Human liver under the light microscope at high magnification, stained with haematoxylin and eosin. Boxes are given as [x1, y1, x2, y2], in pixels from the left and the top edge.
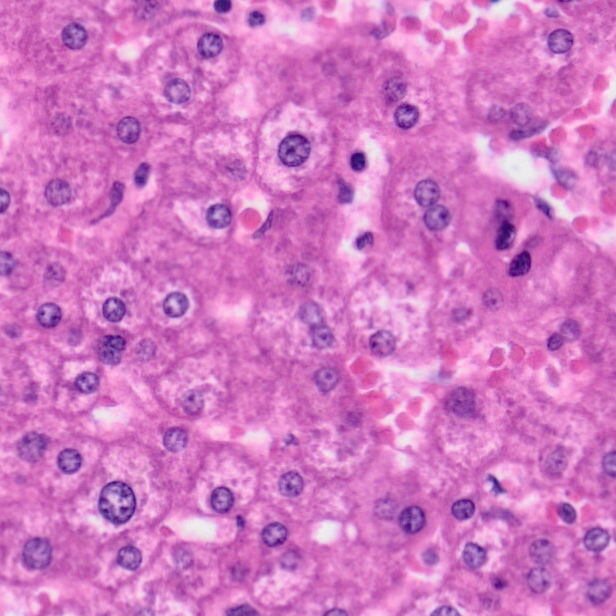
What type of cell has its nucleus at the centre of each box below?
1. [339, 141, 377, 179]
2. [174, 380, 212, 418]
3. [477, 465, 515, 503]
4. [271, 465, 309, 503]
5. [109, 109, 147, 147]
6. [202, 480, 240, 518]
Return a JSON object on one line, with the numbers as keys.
{"1": "lymphocyte", "2": "hepatocyte", "3": "endothelial cell", "4": "hepatocyte", "5": "hepatocyte", "6": "hepatocyte"}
